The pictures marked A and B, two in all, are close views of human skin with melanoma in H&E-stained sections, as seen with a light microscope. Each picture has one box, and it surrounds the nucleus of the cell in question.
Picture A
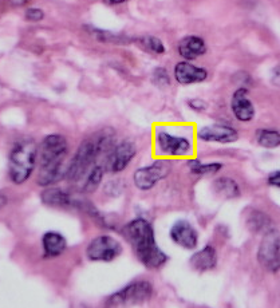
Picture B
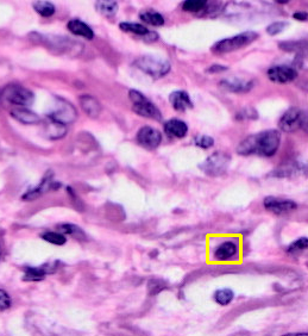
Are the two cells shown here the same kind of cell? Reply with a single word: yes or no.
no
